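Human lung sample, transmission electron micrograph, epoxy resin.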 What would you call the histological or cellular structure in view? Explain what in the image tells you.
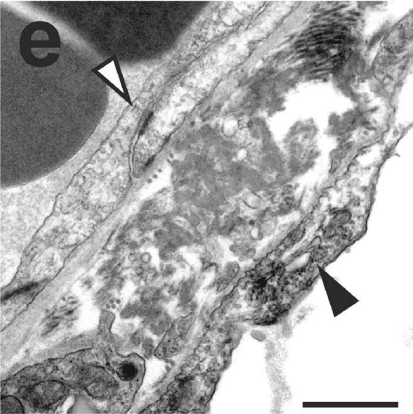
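A broad zone of fibrillar material lies between the layer beside the red blood cell and the outer surface.
Hence: thick part of the air–blood barrier.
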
